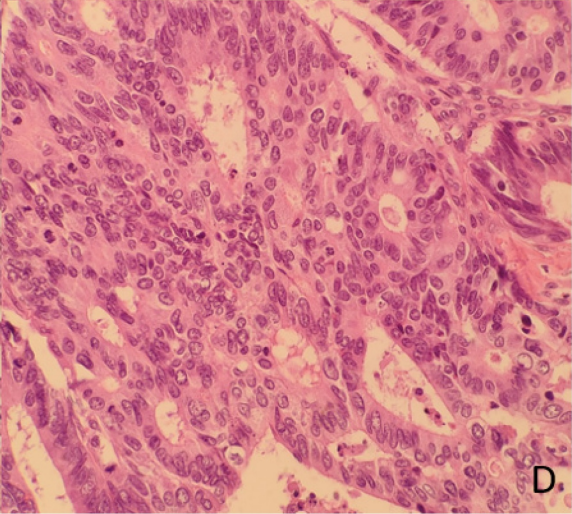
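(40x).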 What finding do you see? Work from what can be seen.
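Marked pleomorphism. Nuclei vary clearly in size and shape, from oval to elongated. Many nuclei have vesicular chromatin and visible nucleoli.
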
